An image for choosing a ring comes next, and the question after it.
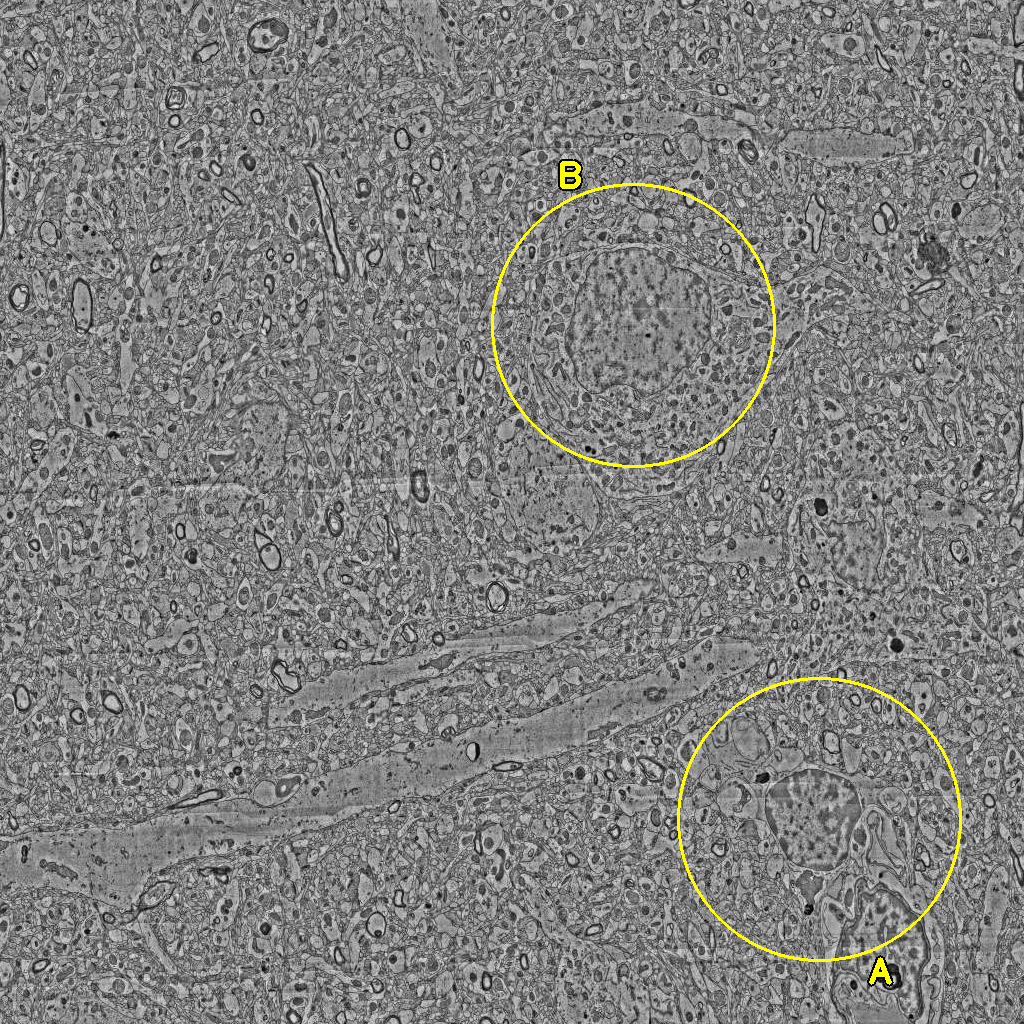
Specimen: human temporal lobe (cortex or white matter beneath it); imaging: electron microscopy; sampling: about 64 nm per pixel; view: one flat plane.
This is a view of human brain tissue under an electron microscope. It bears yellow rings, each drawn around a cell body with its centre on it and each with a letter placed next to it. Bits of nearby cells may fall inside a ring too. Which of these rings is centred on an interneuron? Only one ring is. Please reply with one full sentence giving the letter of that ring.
Of all the lettered rings, B is the one centred on a cell of that kind.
